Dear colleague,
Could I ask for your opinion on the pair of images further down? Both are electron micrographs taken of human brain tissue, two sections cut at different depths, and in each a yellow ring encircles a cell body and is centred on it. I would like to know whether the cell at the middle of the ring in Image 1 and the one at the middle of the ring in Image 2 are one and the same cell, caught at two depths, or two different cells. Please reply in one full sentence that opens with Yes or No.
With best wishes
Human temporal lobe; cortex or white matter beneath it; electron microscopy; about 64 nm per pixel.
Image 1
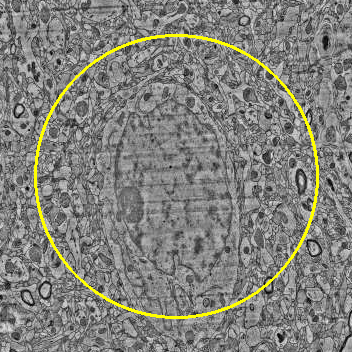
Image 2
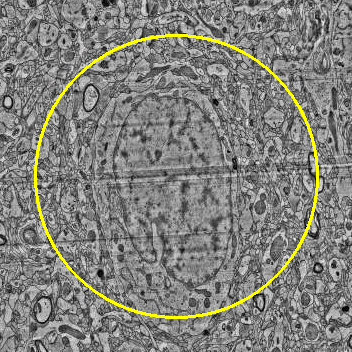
Yes, both rings are placed on a single cell.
